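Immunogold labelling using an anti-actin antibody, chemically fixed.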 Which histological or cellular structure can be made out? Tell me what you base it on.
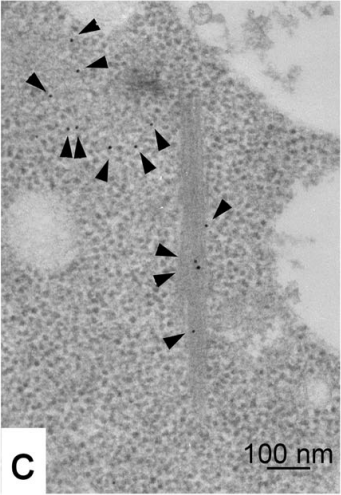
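Bundles. A long straight band of parallel fine filaments runs vertically through the granular cytoplasm. Small dark dots lie along the band.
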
